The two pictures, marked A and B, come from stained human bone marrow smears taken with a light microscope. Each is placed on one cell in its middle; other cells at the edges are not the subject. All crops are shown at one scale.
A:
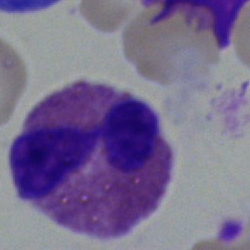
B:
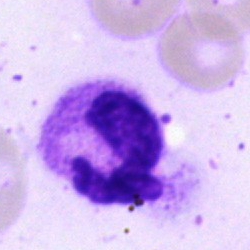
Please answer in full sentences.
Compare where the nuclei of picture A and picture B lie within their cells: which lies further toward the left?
Seen within its cell, the nucleus in picture A lies further toward the left.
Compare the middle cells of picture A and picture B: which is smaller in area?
Smaller is the cell in picture B, and the other is about 1.5 times as large in area.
